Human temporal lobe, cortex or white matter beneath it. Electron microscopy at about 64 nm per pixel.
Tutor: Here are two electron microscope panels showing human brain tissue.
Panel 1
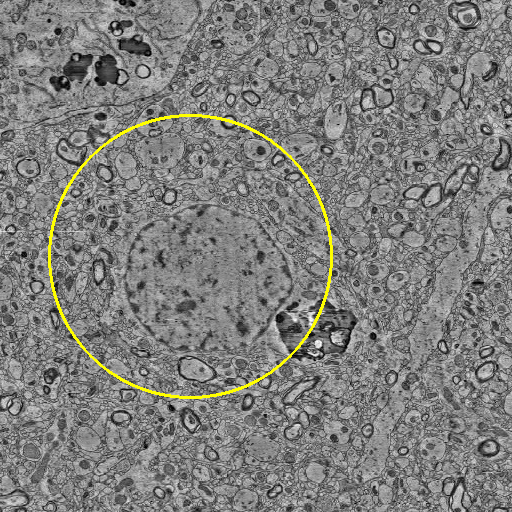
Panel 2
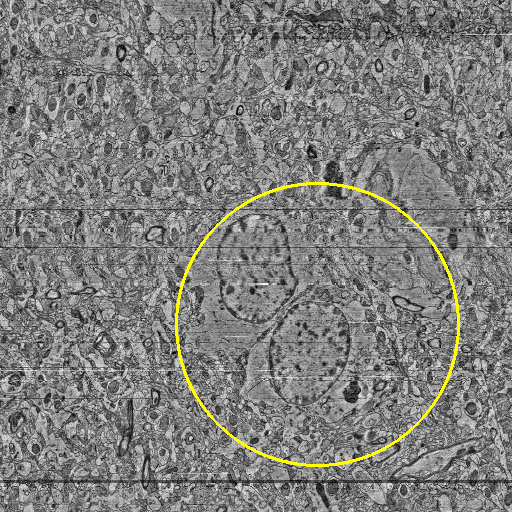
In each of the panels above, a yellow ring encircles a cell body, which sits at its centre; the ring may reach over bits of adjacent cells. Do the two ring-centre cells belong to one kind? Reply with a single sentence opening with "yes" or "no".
Yes, the two cells sitting at the ring centres in the panels belong to one kind.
